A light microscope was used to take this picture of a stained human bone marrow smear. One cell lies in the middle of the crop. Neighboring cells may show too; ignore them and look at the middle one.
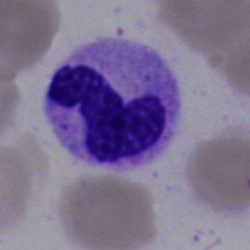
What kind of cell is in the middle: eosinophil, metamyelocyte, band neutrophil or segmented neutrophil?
band neutrophil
